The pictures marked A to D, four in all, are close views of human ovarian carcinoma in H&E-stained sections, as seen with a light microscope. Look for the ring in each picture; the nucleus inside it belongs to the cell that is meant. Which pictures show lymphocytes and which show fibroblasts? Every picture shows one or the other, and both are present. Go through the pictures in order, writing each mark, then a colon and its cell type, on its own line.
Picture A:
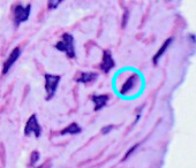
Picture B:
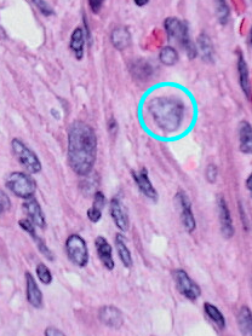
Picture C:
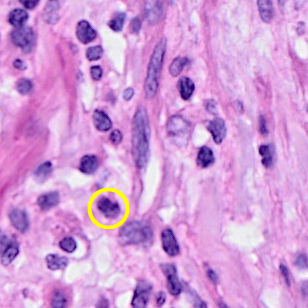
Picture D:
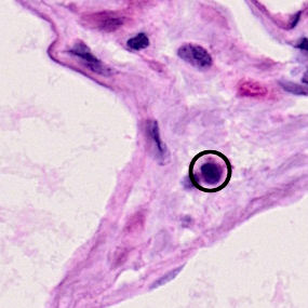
A: fibroblast
B: fibroblast
C: lymphocyte
D: lymphocyte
